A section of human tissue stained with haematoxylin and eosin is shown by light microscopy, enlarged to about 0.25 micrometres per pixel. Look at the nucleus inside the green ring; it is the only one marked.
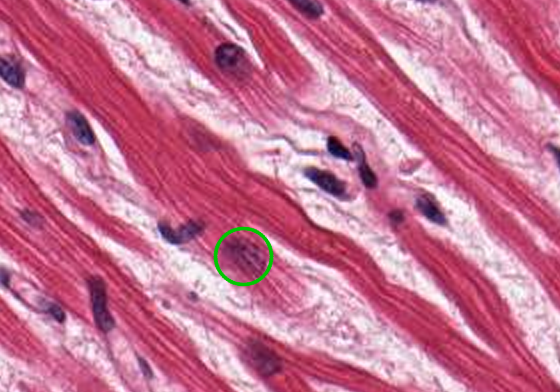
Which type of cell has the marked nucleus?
cardiomyocyte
